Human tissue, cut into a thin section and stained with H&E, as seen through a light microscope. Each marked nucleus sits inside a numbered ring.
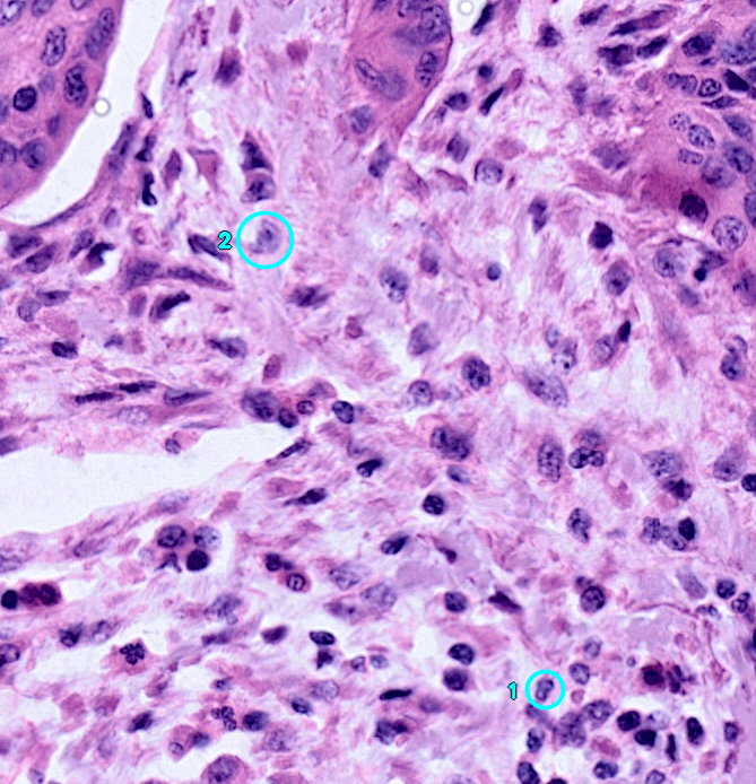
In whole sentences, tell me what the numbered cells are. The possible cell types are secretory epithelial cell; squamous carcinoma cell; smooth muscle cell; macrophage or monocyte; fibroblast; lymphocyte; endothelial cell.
Cell 1 is a lymphocyte. Cell 2 is a fibroblast.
